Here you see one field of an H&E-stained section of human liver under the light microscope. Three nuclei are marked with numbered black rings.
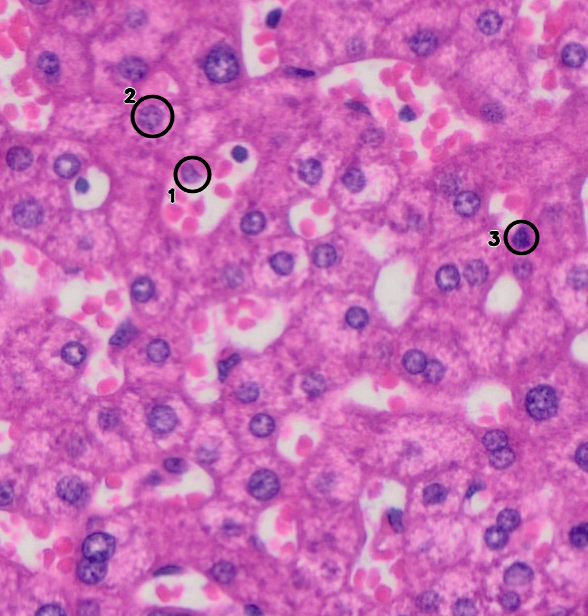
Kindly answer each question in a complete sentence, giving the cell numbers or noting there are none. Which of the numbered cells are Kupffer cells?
The only cell among those numbered to be a Kupffer cell is number 1.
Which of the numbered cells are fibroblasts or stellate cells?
Cell 3, and no other numbered cell, is a fibroblast or stellate cell.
